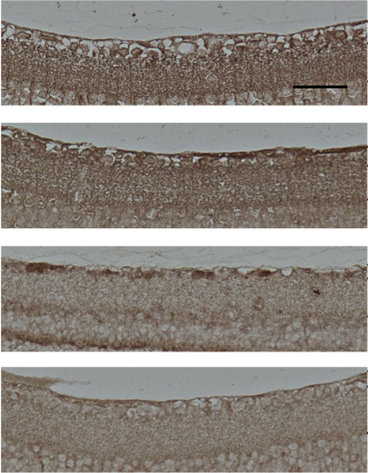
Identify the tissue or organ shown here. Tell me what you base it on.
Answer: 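Retinae. Each strip shows parallel layers running along a free inner surface. A single row of cell bodies lies along the inner surface. Beneath the row is a broad band of fine granular, cell-poor texture. Deeper down, densely packed rows of cell bodies appear.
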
